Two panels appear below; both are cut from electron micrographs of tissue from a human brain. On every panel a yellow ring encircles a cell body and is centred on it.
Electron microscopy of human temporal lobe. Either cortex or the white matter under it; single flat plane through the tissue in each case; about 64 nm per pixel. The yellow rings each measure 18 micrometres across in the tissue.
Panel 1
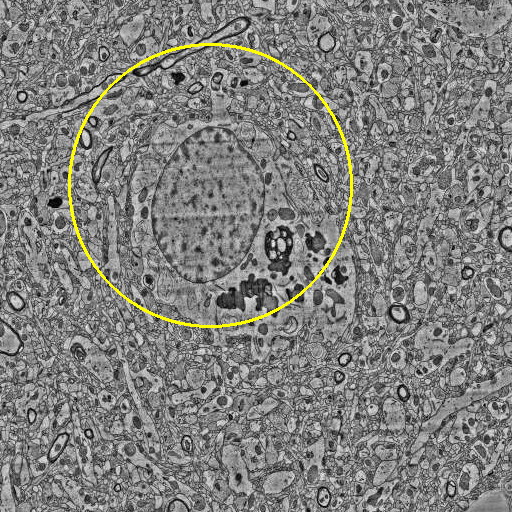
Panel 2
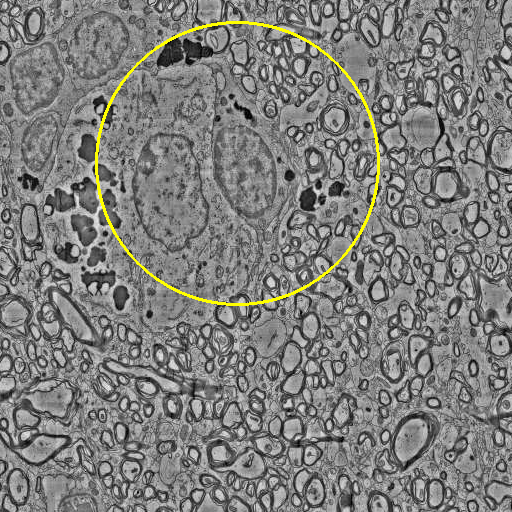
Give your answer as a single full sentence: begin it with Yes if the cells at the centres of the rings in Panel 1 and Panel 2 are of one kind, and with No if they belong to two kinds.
No, the cells in the middle of the rings in Panels 1 and 2 are of two kinds.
